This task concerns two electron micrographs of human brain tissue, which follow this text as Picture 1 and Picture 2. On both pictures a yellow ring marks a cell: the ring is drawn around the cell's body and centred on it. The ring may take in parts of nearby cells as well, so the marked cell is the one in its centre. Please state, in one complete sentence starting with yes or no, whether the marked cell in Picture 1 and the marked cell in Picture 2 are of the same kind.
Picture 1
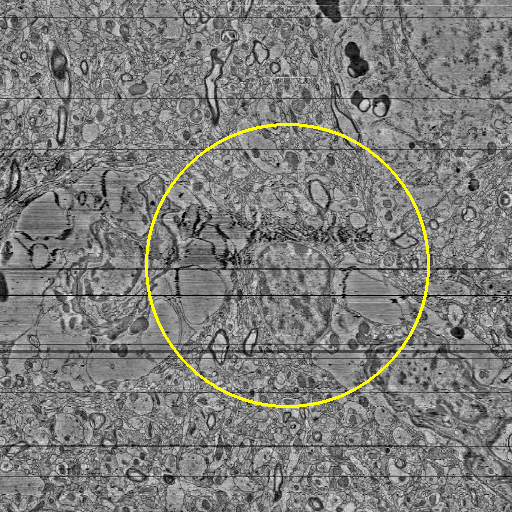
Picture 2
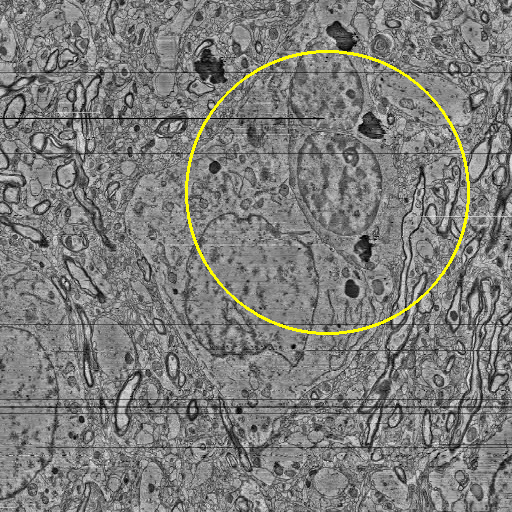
Yes, the marked cells in both pictures are of the same kind.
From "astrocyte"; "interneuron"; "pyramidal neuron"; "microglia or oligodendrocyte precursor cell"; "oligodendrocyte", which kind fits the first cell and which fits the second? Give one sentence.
Each of the two cells is an oligodendrocyte.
